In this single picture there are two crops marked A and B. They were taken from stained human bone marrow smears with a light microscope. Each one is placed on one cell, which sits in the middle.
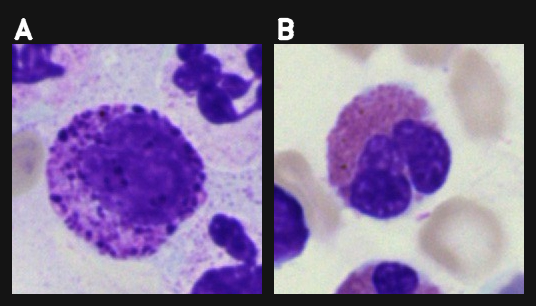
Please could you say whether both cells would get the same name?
no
